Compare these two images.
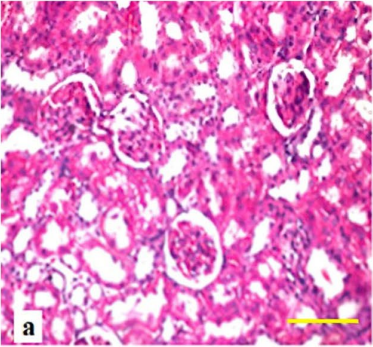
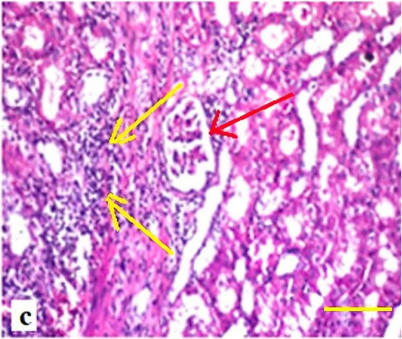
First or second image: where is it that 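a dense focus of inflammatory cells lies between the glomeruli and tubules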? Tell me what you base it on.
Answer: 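Second image: a crowded patch of small dark nuclei fills the space beside a glomerulus.
Hence: the second image.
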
